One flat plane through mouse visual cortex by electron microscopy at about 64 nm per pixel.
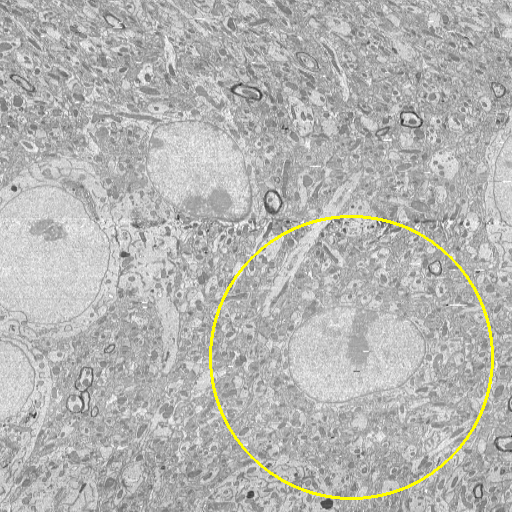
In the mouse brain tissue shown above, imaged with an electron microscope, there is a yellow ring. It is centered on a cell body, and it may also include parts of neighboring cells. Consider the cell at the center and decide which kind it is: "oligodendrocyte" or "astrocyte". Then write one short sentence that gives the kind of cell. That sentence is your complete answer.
This centered cell body is that of an astrocyte.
